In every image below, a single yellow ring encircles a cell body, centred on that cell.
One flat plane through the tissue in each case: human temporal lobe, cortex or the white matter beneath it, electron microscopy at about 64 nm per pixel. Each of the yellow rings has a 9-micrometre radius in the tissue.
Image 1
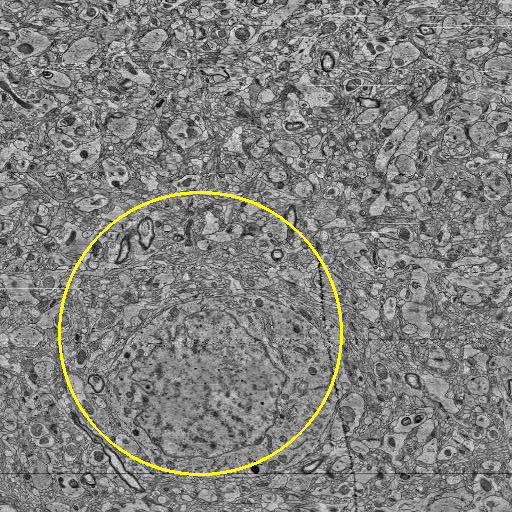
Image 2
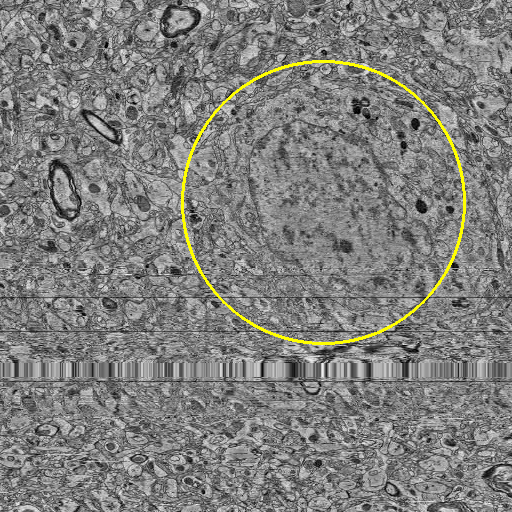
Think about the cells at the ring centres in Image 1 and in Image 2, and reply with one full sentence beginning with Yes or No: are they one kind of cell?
Yes, the cells centred in the rings of Image 1 and Image 2 are one kind of cell.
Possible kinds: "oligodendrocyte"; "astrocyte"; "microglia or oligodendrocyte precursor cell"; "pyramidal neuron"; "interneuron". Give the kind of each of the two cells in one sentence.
The cell in the first picture is an interneuron, and so is the one in the second.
